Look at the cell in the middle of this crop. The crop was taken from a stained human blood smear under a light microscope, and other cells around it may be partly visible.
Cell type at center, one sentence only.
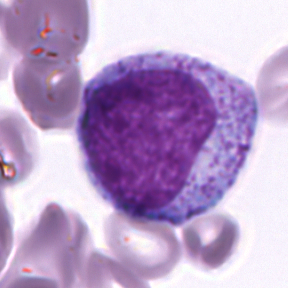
The cell nearest the centre of this crop is a promyelocyte.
